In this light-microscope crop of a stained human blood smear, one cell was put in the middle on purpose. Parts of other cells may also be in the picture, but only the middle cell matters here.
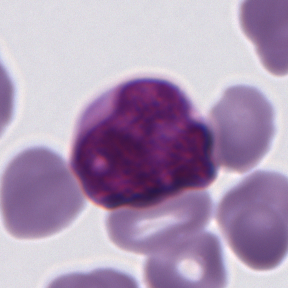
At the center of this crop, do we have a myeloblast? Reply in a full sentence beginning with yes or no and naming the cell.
Yes, the cell at the crop's center is a myeloblast.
